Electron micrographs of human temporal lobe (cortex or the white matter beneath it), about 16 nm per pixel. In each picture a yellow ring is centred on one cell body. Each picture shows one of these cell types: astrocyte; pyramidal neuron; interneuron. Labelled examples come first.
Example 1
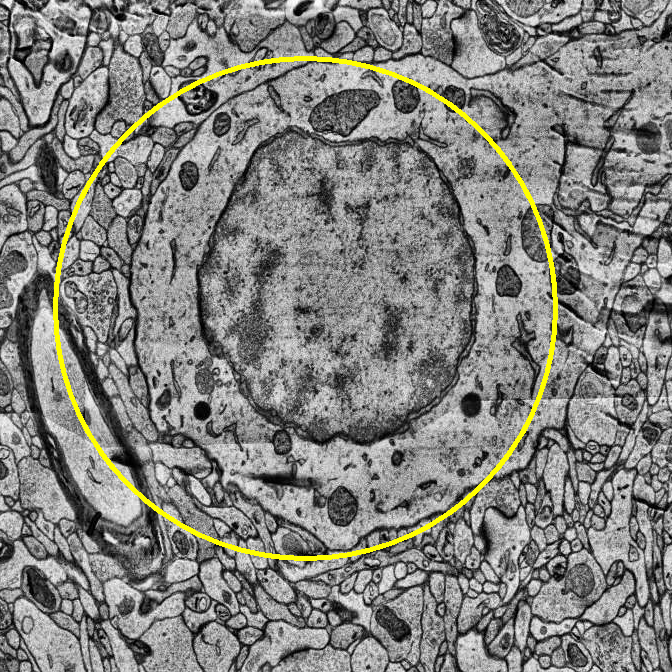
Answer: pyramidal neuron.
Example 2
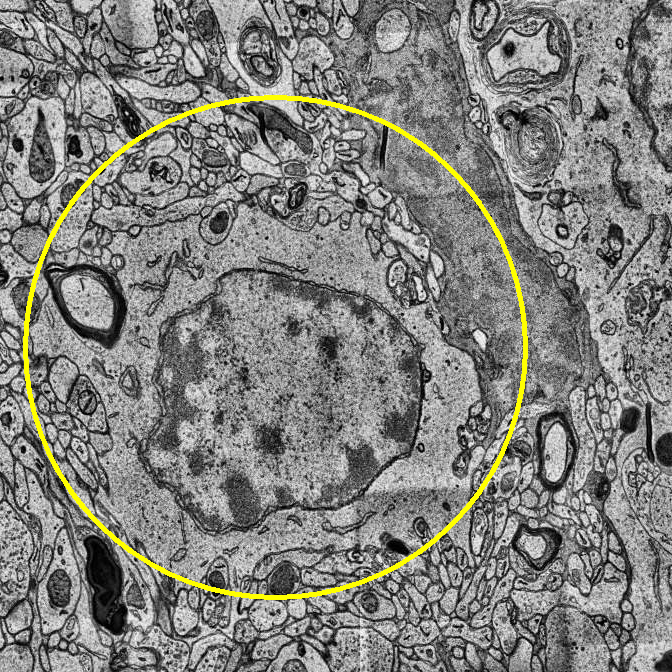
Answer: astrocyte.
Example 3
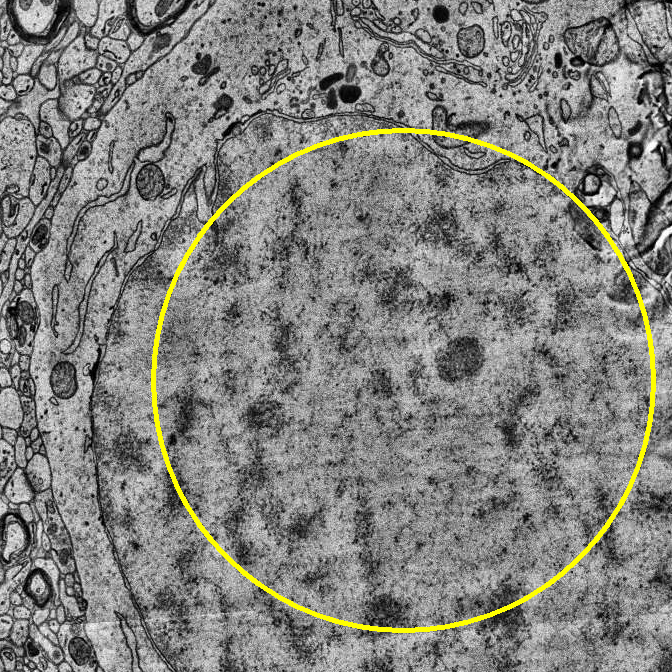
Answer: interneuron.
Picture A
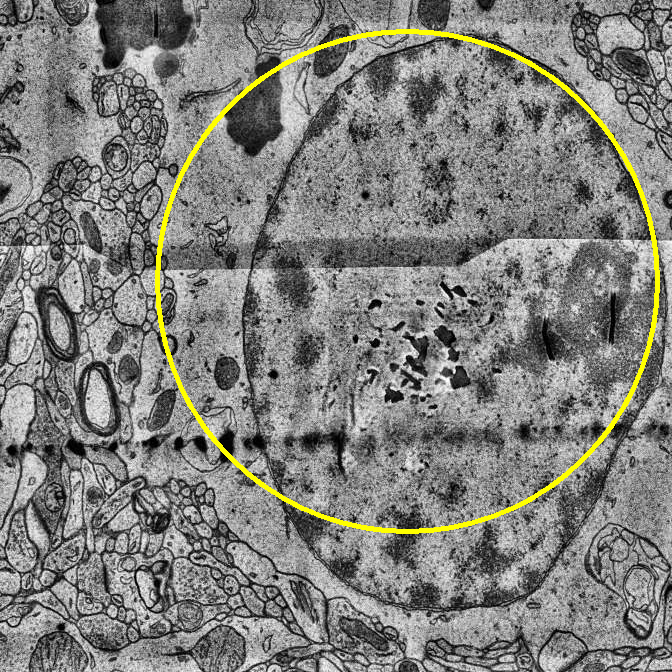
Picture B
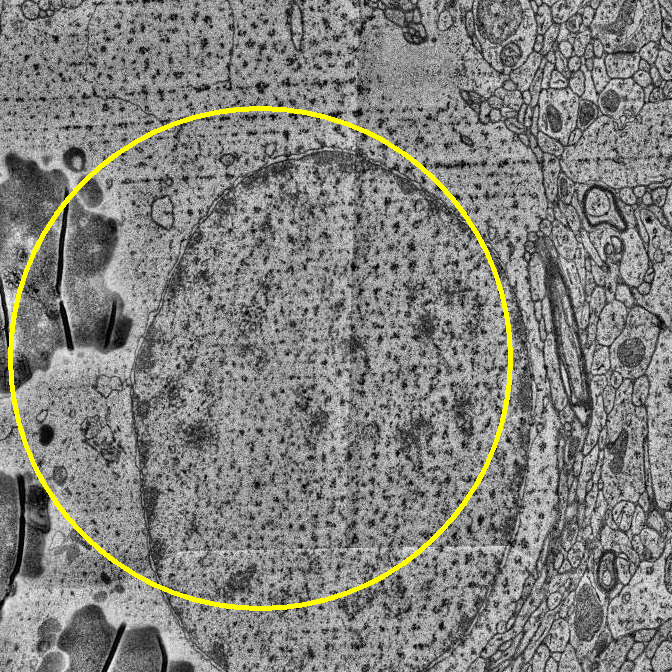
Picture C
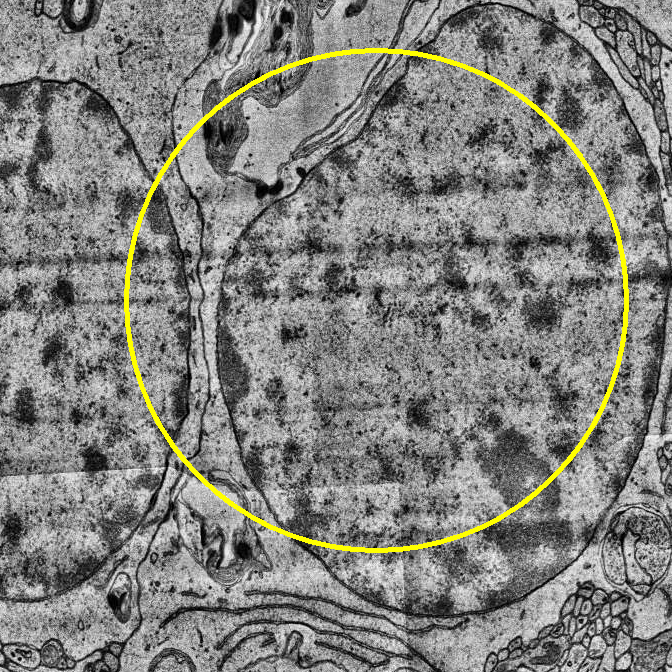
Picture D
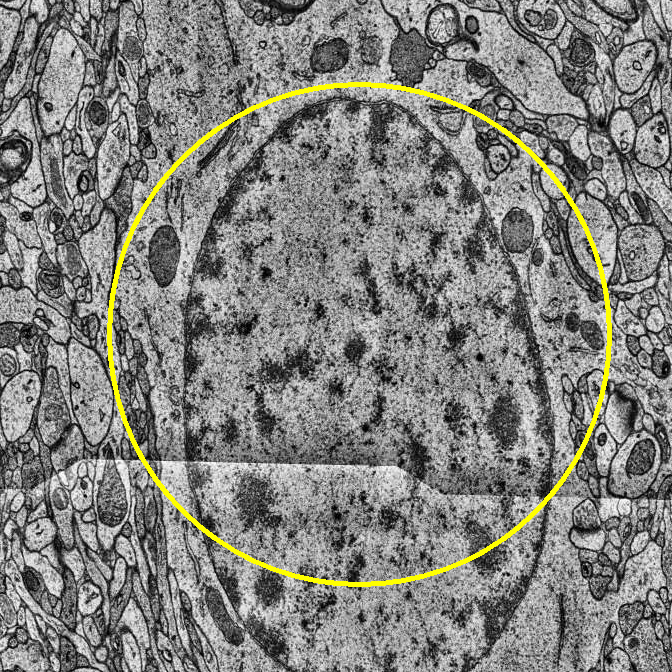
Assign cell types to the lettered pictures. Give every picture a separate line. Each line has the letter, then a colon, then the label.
A: astrocyte.
B: astrocyte.
C: astrocyte.
D: astrocyte.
